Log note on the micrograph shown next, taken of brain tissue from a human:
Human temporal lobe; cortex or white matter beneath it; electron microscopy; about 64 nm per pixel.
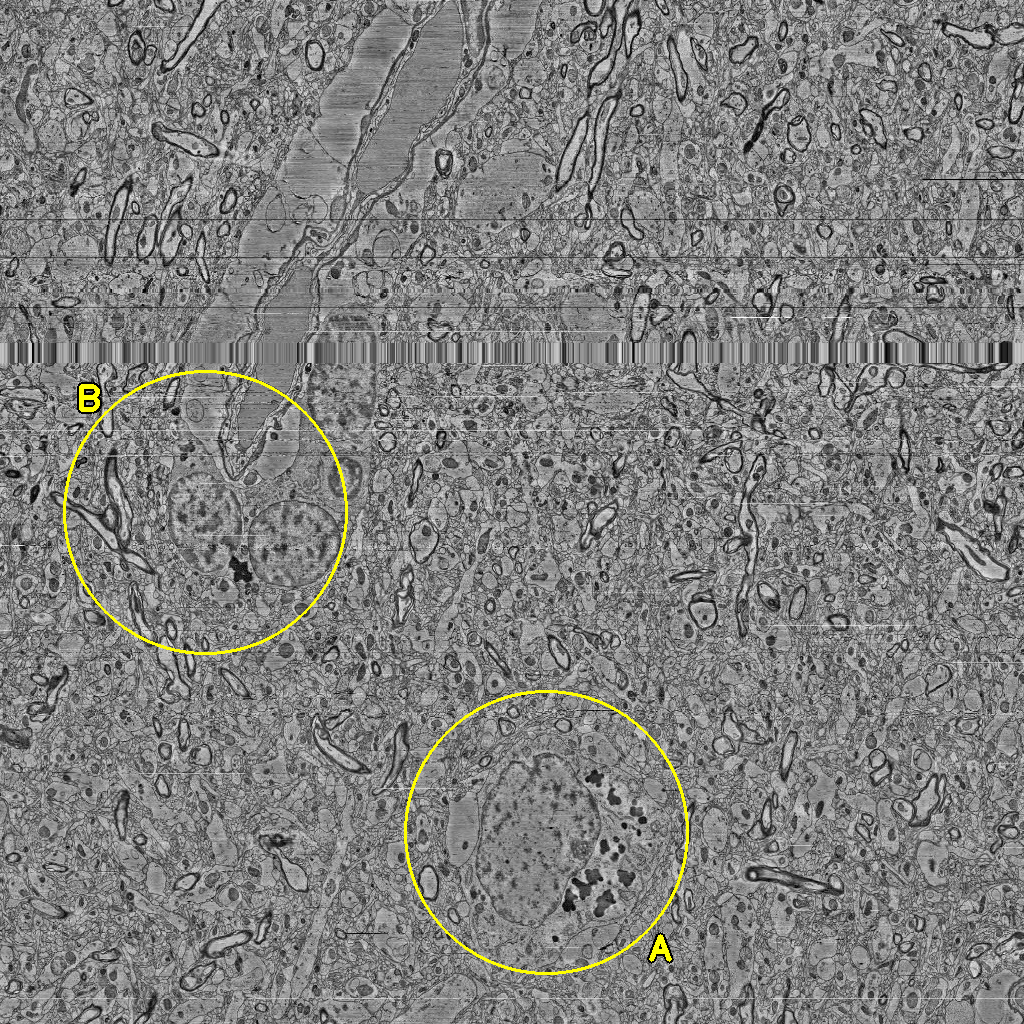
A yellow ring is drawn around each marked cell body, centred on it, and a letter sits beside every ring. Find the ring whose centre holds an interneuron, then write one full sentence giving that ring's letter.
In the picture, the cell asked for sits at the centre of ring A.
